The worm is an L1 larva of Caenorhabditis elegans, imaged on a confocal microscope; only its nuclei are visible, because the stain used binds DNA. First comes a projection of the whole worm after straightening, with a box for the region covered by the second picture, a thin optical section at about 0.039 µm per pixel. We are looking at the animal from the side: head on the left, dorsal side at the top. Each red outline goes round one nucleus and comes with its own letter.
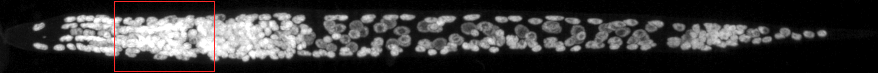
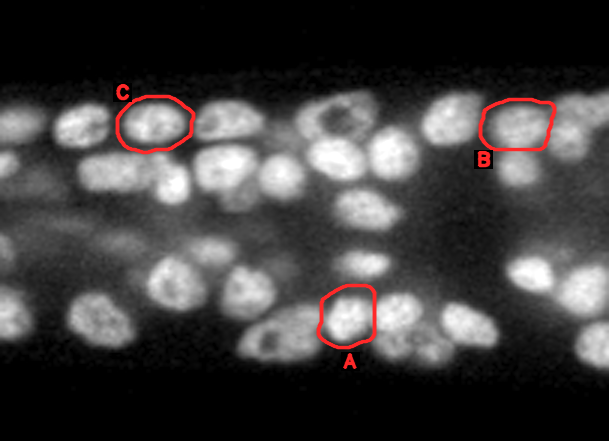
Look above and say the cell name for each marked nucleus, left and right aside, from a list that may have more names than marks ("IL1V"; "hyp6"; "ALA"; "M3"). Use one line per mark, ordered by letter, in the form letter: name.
A: IL1V
B: ALA
C: hyp6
